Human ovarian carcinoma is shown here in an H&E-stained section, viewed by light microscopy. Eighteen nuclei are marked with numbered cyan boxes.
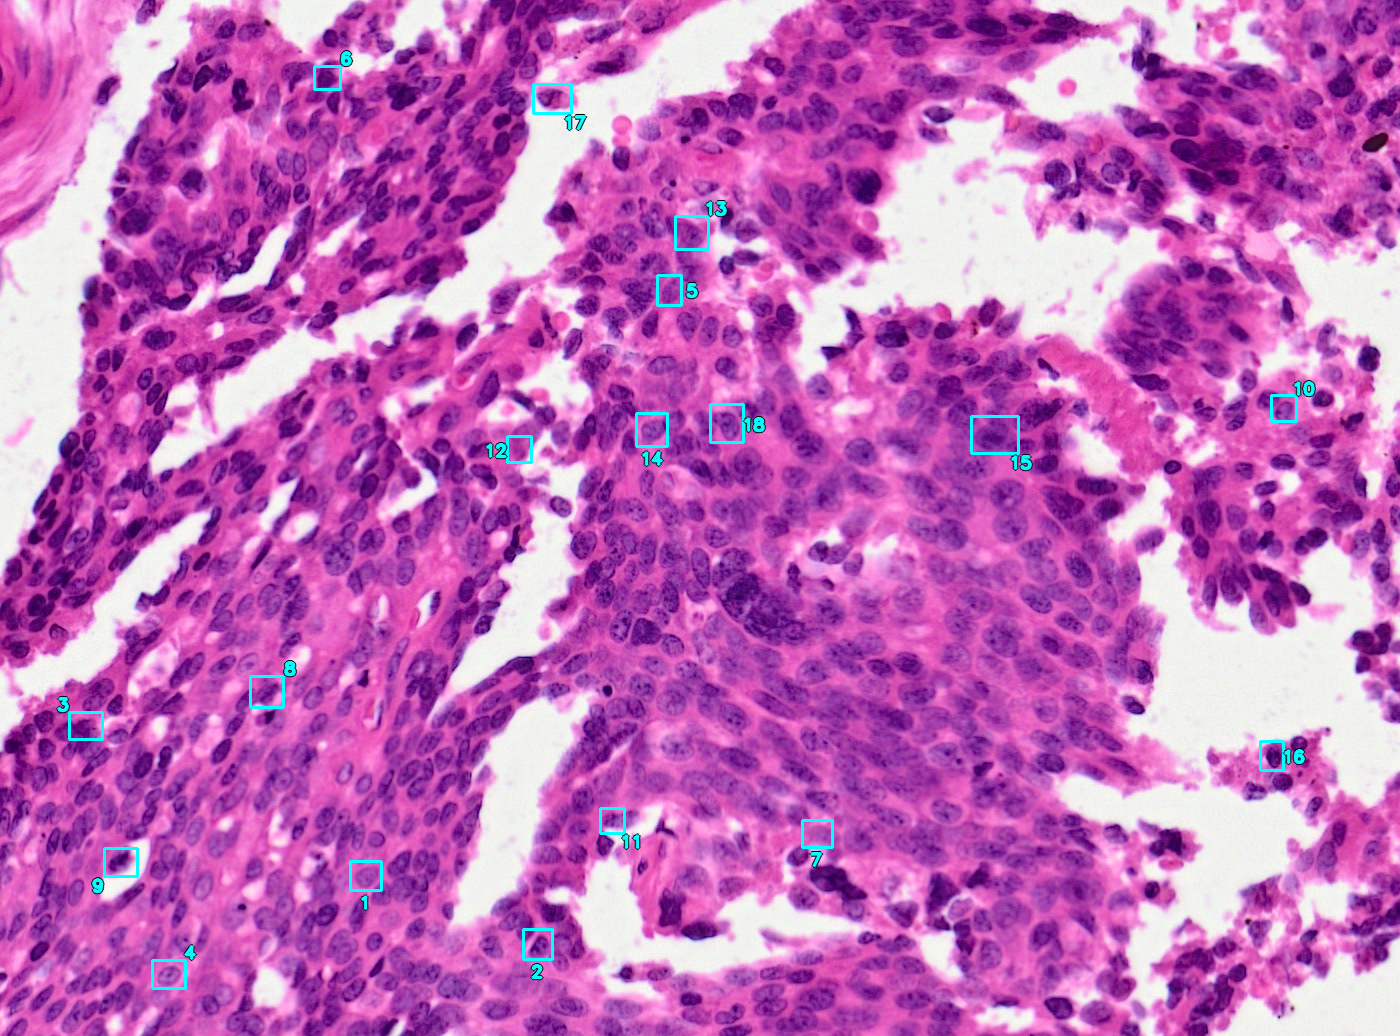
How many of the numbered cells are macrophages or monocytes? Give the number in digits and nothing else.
8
